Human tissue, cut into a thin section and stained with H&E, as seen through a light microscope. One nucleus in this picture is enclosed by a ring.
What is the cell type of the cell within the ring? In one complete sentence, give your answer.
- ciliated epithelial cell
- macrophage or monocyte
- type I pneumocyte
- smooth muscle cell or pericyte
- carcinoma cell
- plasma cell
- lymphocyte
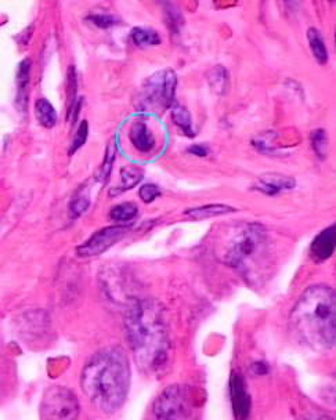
In terms of identity, the cell within the ring is a plasma cell.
